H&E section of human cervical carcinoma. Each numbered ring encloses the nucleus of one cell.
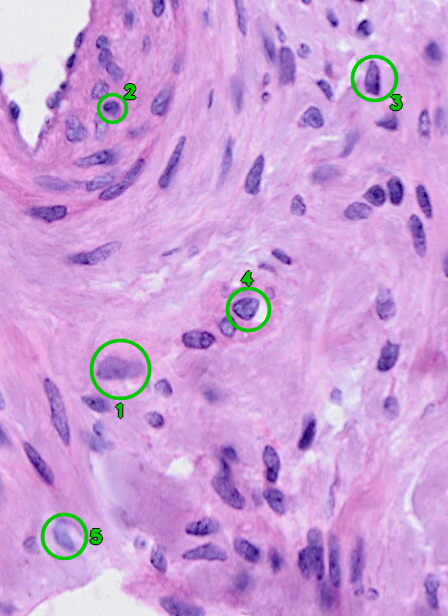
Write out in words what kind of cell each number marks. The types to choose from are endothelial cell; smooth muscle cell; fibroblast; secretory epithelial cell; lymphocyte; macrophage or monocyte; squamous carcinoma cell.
Cell 1 is a fibroblast, cell 2 is a smooth muscle cell, cell 3 is a fibroblast, cell 4 is an endothelial cell and cell 5 is a fibroblast.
